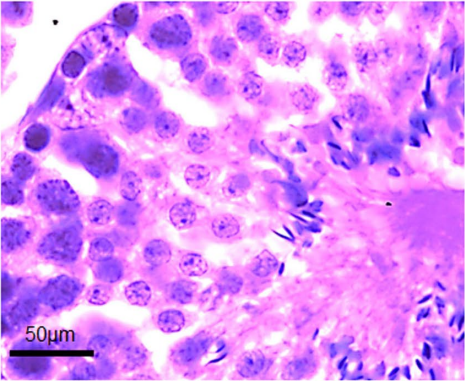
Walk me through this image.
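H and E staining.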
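This is part of a seminiferous tubule in cross section, with a stratified layer of germ cells stained purple on a pink background. Large round cells with coarse, darkly clumped chromatin lie toward the outer wall at the left, resembling primary spermatocytes. Inward from them are many smaller round cells with pale round nuclei, consistent with round spermatids. Near the lumen at the right, small, dark, elongated nuclei are gathered in clusters, typical of elongated spermatids, facing a pink lumen.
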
